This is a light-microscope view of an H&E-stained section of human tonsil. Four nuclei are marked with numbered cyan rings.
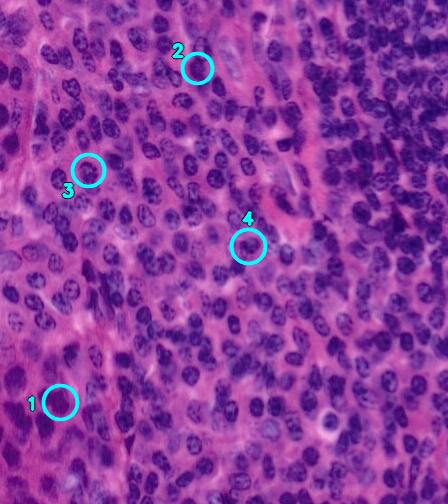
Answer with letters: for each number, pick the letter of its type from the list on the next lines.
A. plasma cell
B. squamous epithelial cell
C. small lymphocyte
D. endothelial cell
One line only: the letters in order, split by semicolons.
B; A; A; A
